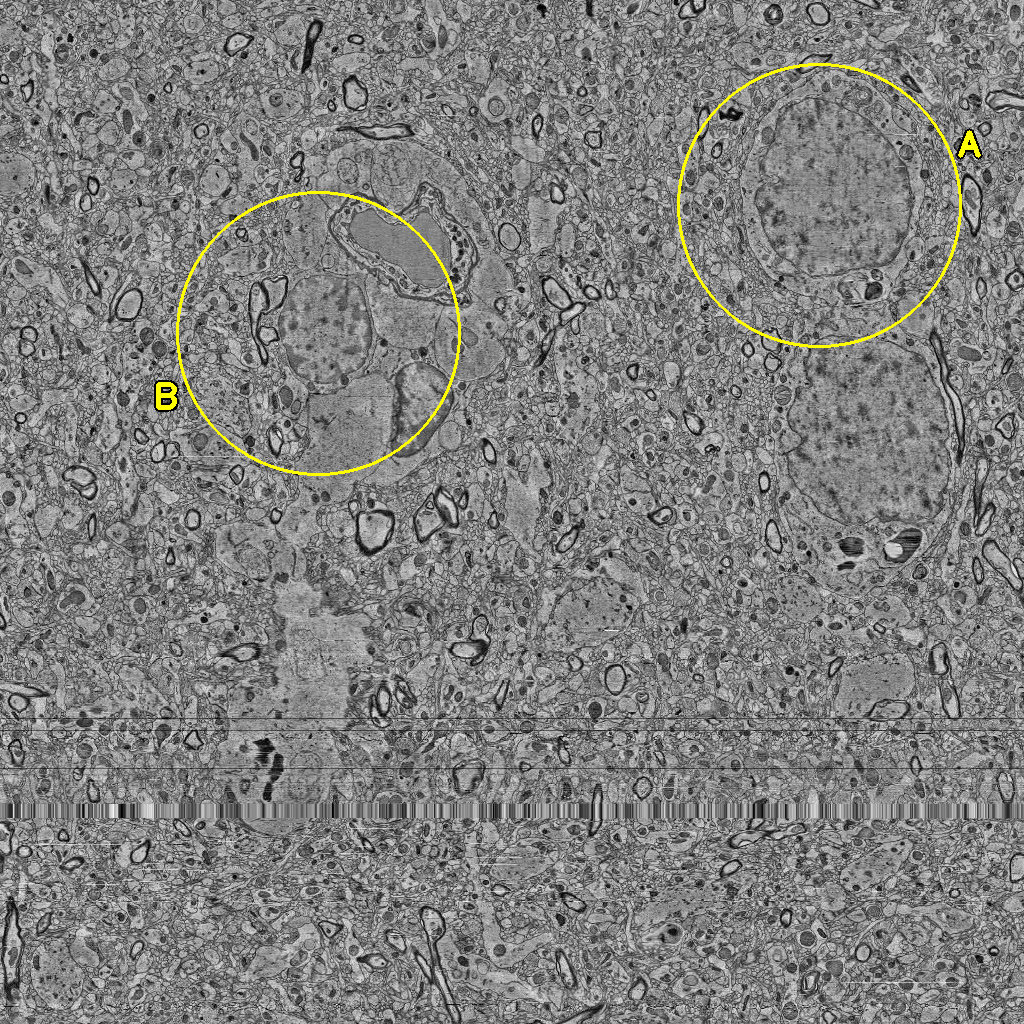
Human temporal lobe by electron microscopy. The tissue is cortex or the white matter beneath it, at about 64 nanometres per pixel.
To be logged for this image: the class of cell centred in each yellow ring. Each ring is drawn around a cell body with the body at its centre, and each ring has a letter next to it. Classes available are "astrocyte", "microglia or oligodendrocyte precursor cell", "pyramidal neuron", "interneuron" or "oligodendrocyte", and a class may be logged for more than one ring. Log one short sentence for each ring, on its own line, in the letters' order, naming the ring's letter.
The class recorded for ring A is an interneuron.
The class recorded for ring B is an oligodendrocyte.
